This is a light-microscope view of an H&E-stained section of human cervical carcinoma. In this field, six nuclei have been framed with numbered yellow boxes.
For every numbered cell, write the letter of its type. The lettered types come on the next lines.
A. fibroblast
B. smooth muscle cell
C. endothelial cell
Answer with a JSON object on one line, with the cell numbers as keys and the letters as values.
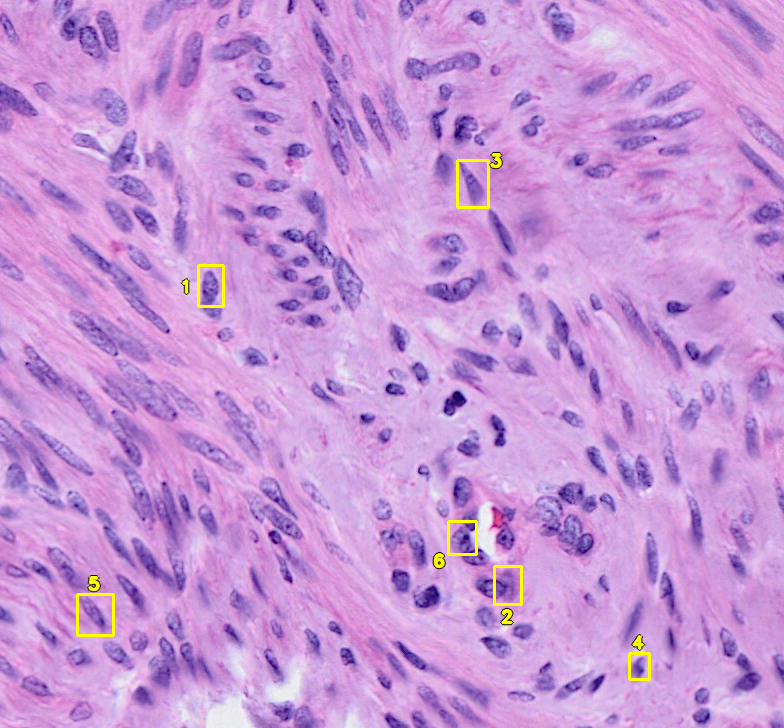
{"1": "A", "2": "C", "3": "A", "4": "A", "5": "B", "6": "C"}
